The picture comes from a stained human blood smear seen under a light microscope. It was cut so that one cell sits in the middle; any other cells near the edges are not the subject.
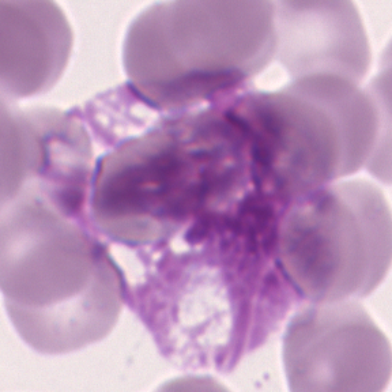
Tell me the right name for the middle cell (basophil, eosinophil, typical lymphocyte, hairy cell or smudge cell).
smudge cell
